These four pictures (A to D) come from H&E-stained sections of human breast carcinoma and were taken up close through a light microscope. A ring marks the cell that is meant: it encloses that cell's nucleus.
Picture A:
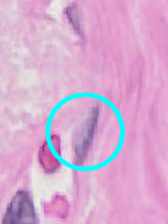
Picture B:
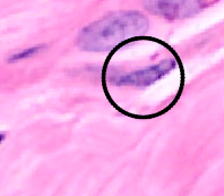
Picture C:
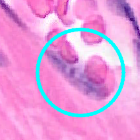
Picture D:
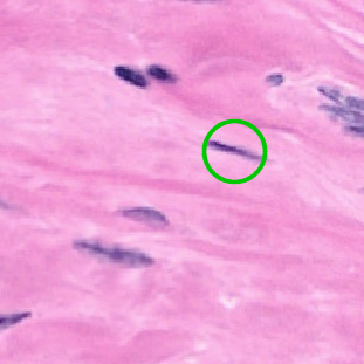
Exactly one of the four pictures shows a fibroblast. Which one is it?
D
